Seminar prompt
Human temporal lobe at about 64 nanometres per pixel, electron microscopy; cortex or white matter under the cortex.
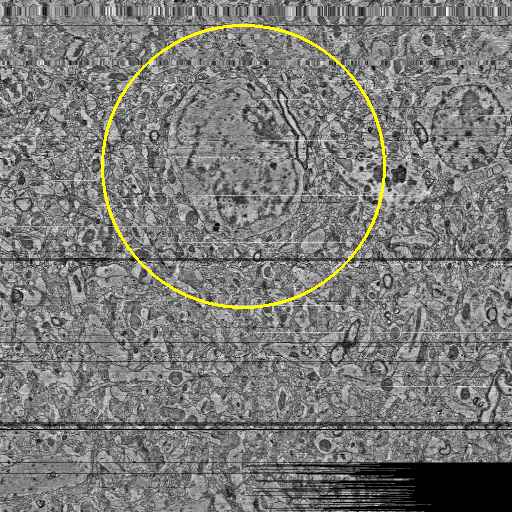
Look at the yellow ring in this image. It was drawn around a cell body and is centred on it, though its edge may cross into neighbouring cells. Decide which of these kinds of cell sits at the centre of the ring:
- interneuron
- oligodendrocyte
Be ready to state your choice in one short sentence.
The kind of cell at the ring's centre is an interneuron.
